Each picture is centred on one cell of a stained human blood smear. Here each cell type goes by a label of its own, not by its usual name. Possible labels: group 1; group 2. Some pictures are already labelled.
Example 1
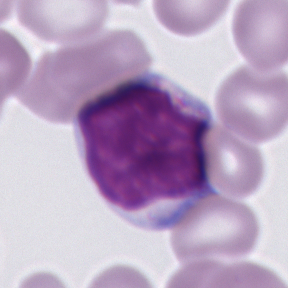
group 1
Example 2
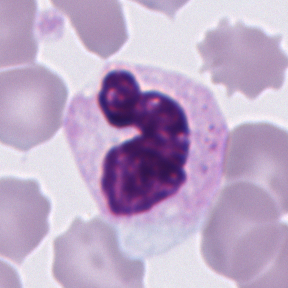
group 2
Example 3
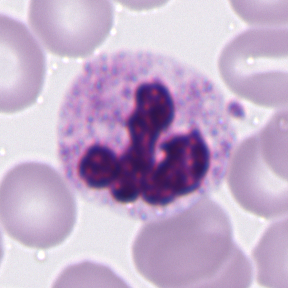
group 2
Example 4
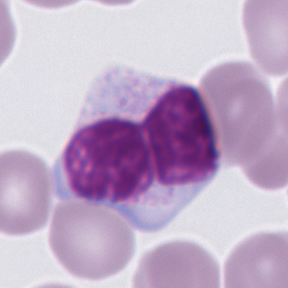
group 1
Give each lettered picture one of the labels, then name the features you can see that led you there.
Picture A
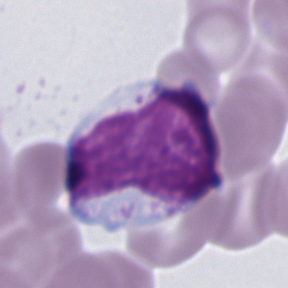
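group 1. The nucleus fills most of the cell.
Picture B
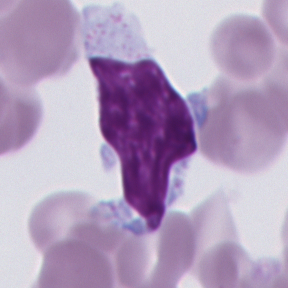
group 1. The nucleus fills most of the cell.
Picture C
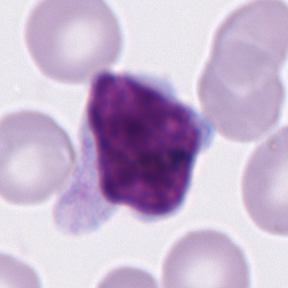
group 1. The cytoplasm is scant compared with the large nucleus.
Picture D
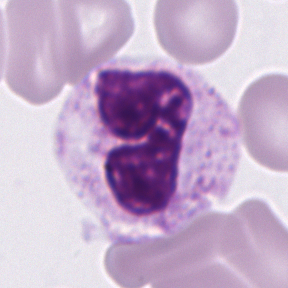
group 2. The cytoplasm is plentiful and pale pinkish-lilac.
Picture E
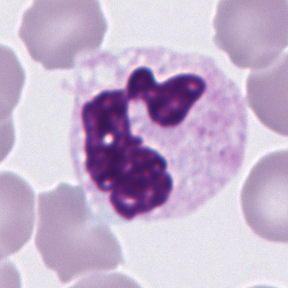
group 2. The cytoplasm is plentiful and pale pinkish-lilac.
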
